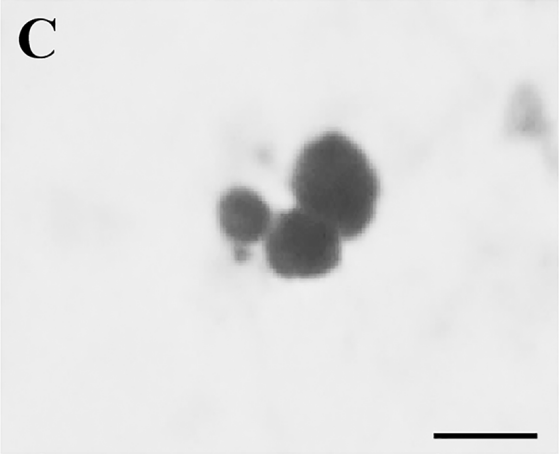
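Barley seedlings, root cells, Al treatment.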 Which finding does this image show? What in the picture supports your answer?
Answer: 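Three dense rounded chromatin bodies of unequal size lie pressed together. No single intact oval nucleus is present in the cluster. That points to this answer: fragmented interphase nuclei.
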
